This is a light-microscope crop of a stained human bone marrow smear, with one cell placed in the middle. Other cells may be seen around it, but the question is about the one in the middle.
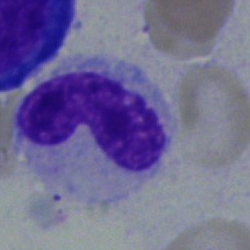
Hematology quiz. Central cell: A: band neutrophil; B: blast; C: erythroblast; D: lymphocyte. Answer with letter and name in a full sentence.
The centered cell is a band neutrophil, which is why option A is right.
